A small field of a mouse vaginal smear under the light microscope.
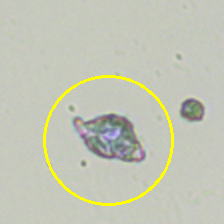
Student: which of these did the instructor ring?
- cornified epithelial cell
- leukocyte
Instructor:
The cell I ringed is a cornified epithelial cell.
